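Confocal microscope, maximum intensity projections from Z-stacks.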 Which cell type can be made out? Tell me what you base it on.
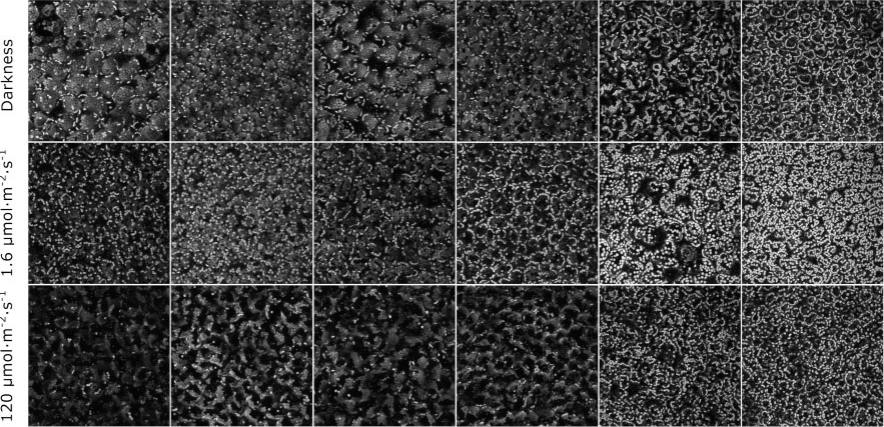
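Closely packed rounded cell profiles seen from above. Each profile is lined or filled by bright small discs. On this evidence: palisade cells.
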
